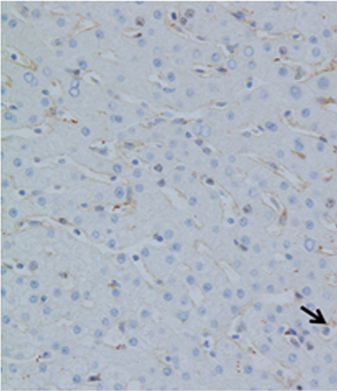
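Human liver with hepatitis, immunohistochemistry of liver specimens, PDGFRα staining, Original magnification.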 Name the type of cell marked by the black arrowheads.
Nonparenchymal cells.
